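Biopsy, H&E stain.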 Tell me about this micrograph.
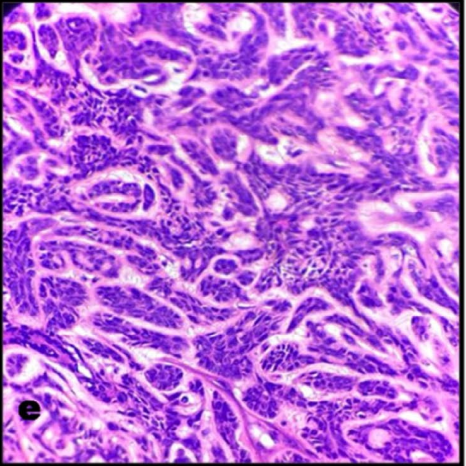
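Here the tumor cells are packed into anastomosing cords, trabeculae and small gland-like clusters throughout the field. Cell borders within the clusters are indistinct, and the cytoplasm is scant. Narrow pale pink strands of stroma and clear slit-like spaces separate the cords from one another. No normal tissue structure can be seen among the crowded tumor cells.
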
